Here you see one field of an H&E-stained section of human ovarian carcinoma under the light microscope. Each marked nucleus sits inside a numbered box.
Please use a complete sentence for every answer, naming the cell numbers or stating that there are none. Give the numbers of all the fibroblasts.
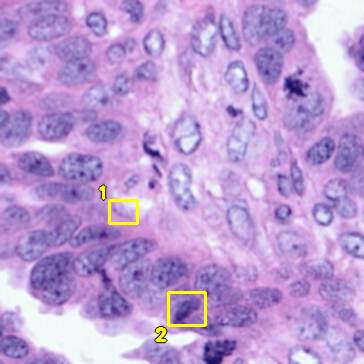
Exactly one numbered cell is a fibroblast, and that cell is number 1.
